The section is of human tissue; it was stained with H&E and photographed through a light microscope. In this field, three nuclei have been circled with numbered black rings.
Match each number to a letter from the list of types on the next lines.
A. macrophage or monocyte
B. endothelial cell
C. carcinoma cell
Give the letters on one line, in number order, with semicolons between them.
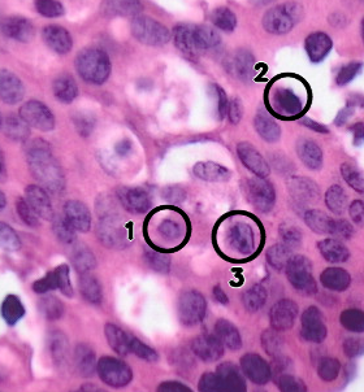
A; C; A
